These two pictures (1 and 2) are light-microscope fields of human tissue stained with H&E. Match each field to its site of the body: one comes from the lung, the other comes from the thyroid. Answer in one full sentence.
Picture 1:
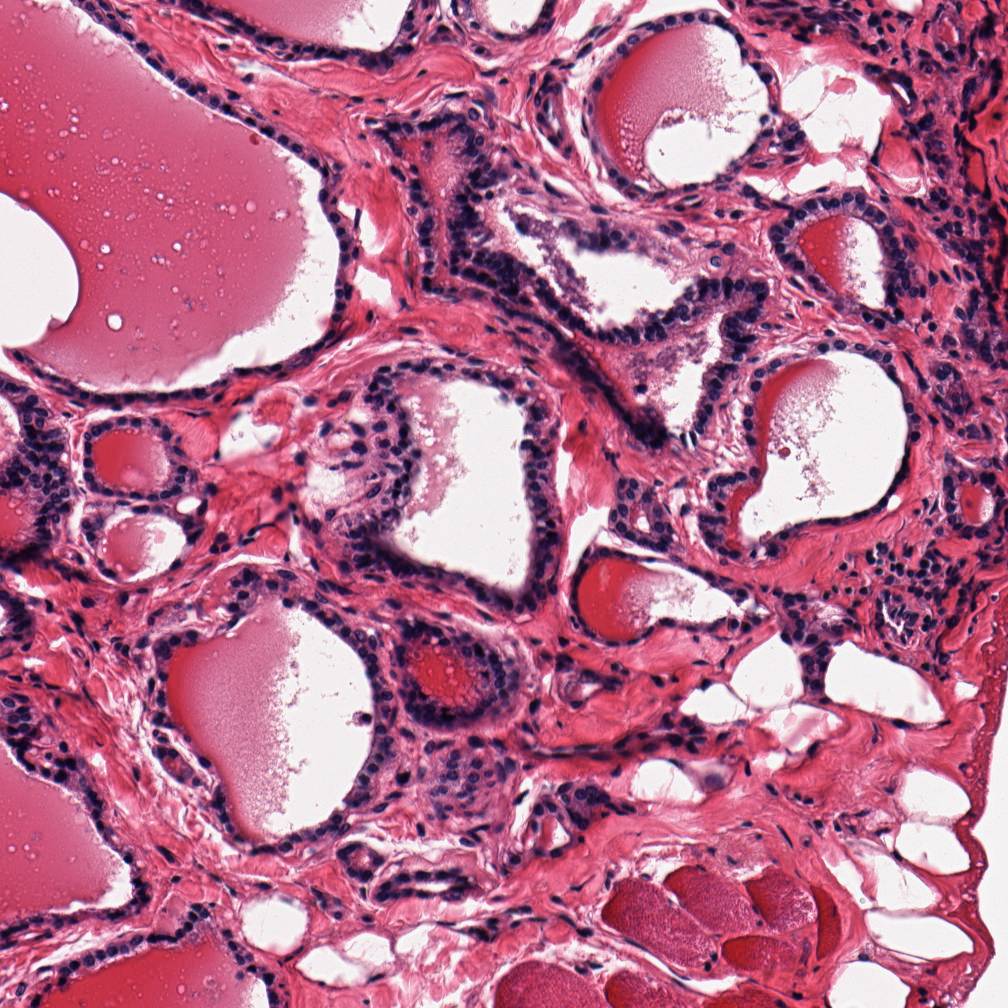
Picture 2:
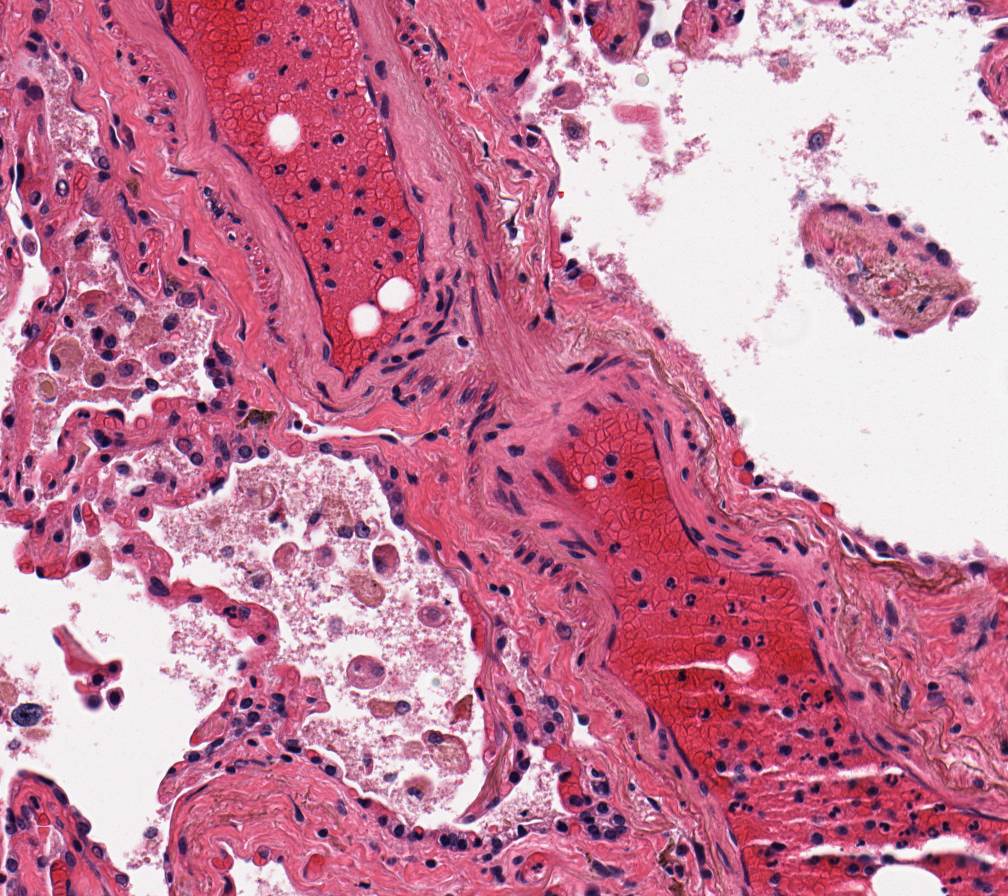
Picture 1 comes from the thyroid; picture 2 comes from the lung.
